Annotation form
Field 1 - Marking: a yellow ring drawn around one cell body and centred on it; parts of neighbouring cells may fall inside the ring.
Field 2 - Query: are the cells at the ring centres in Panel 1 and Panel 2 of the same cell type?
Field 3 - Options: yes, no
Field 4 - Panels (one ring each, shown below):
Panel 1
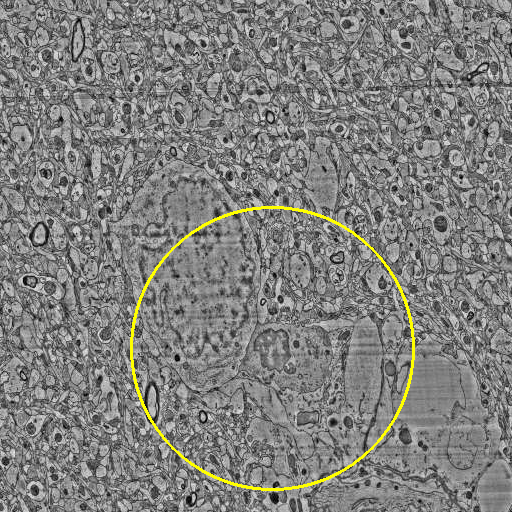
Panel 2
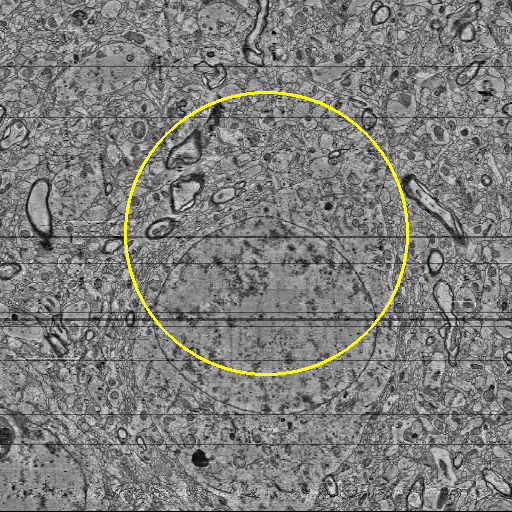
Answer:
no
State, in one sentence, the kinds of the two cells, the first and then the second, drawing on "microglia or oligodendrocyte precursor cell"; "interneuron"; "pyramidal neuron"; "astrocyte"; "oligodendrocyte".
The ring in the second picture is centred on a pyramidal neuron, the ring in the first on an oligodendrocyte.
